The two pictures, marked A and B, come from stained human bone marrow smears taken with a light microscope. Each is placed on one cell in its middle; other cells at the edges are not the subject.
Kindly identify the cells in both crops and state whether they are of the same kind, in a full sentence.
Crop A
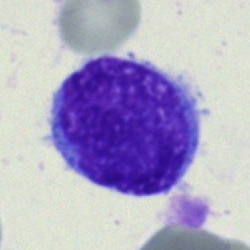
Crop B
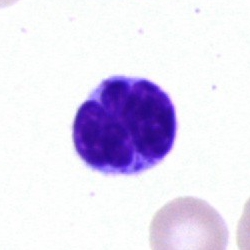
No, shown in crop A is a blast, and shown in crop B is a lymphocyte.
